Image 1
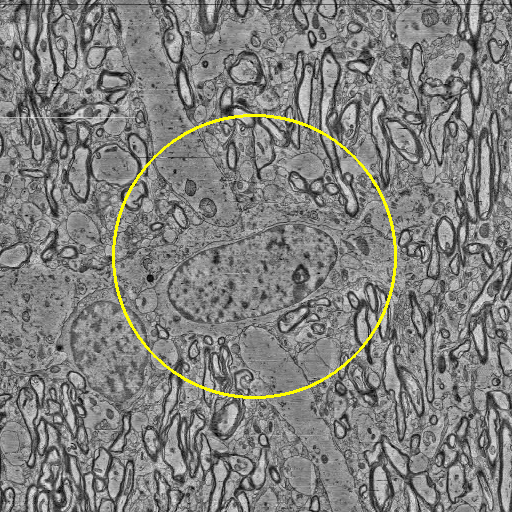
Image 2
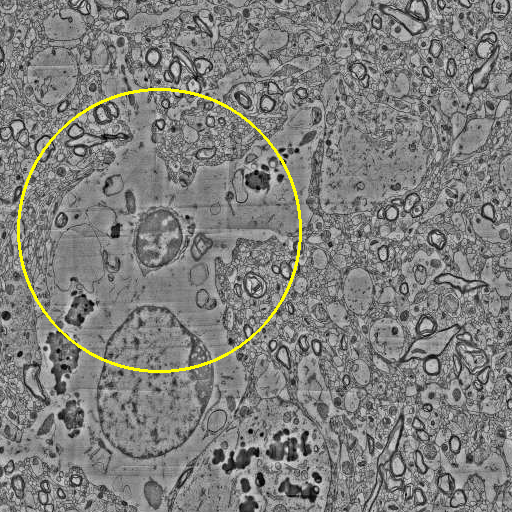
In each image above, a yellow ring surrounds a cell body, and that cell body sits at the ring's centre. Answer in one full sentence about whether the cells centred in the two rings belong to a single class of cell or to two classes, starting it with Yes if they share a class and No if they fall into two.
Yes, the cells centred in the two yellow rings belong to a single class of cell.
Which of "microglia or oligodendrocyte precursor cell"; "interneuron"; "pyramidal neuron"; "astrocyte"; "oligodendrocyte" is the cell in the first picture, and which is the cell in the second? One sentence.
Each one of the two ringed cells is a microglial cell or oligodendrocyte precursor cell.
